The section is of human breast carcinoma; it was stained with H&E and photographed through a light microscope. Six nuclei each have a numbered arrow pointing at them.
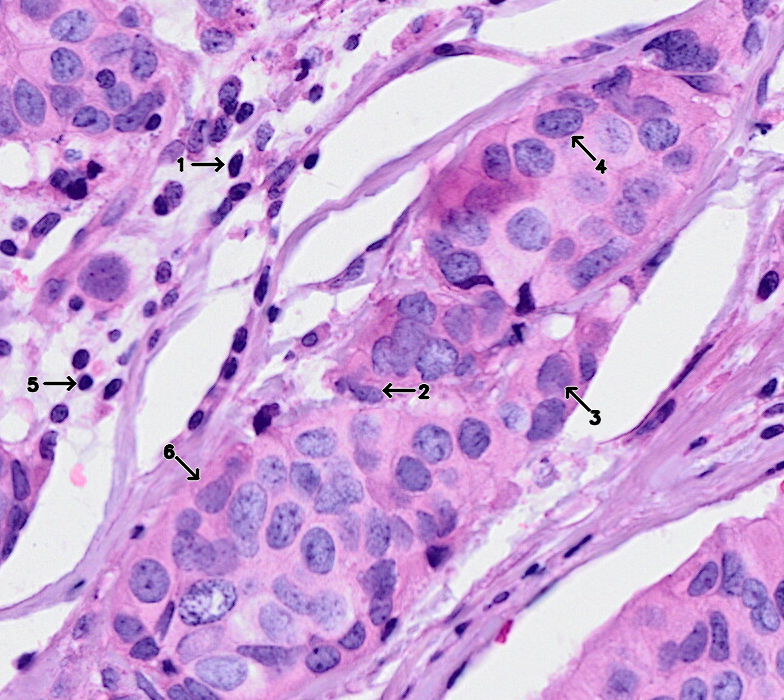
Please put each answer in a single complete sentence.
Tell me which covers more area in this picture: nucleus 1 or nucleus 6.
The larger nucleus is 6, at roughly 3 times the area of 1.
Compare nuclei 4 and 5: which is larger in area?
Number 4 is larger; its area is about 4 times that of number 5.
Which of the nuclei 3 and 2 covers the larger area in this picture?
The larger nucleus is 3, at roughly 2 times the area of 2.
